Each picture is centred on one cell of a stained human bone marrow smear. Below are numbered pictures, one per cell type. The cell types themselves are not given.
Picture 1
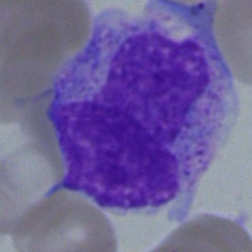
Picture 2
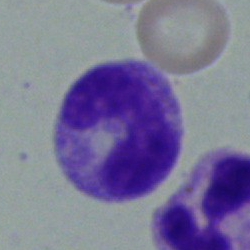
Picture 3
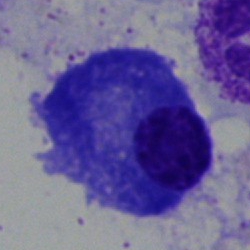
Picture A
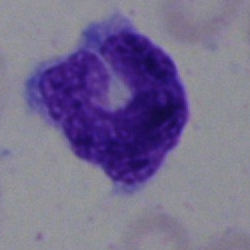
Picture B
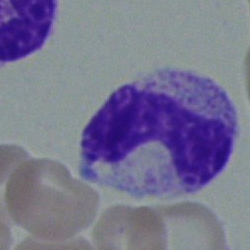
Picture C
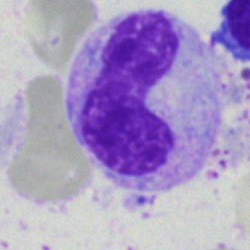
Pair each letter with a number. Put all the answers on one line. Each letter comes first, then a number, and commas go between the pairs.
A 1, B 2, C 2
